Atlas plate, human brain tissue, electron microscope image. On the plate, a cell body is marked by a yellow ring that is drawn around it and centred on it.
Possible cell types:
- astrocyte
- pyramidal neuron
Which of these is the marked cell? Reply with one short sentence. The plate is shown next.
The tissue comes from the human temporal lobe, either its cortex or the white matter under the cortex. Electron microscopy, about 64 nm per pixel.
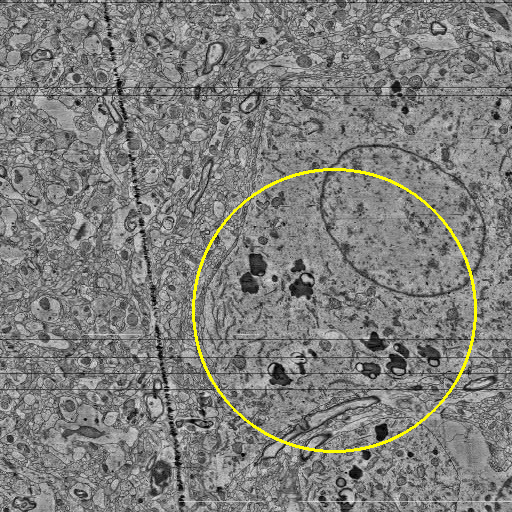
The marked cell is a pyramidal neuron.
